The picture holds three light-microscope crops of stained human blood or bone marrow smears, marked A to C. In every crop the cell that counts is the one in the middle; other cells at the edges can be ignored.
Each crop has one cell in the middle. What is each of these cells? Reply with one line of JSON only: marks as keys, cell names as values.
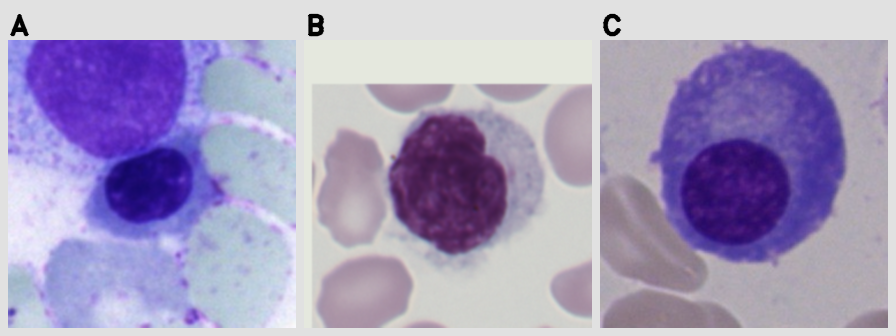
{"A": "normoblast", "B": "hairy cell", "C": "plasma cell"}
